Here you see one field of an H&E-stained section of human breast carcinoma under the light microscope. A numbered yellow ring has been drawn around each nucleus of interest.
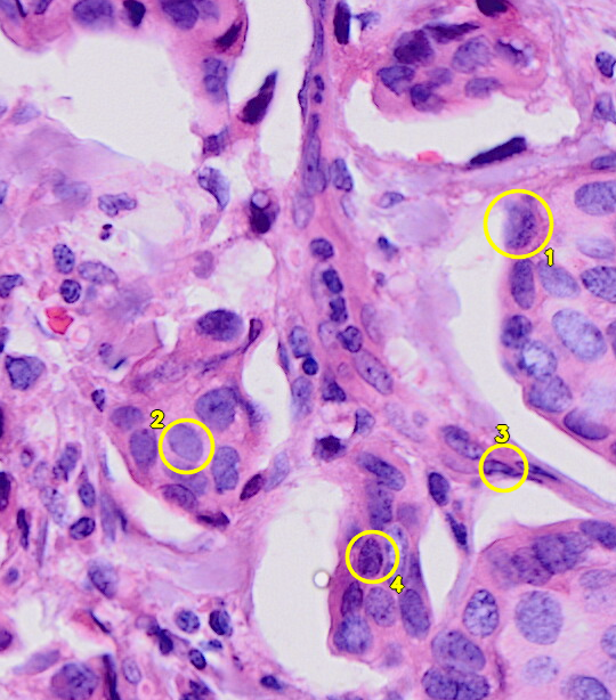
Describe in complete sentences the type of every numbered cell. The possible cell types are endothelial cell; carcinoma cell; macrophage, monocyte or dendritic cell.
Cells 1, 2 and 4 are carcinoma cells. Cell 3 is an endothelial cell.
